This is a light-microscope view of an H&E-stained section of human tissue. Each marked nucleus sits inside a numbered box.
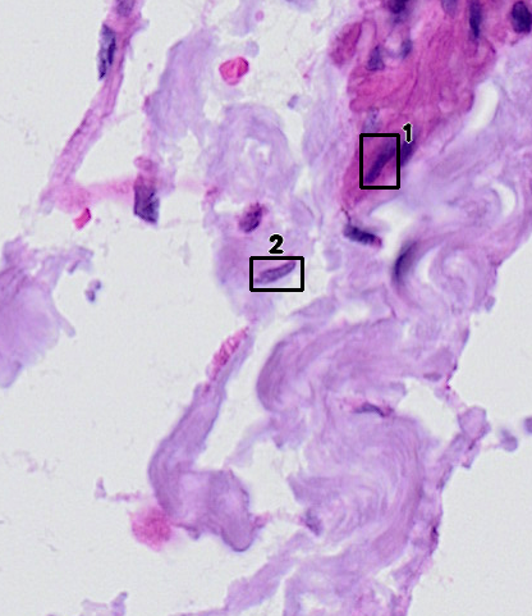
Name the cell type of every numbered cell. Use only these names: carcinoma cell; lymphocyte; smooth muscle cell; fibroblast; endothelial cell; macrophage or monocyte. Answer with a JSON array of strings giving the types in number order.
["smooth muscle cell", "fibroblast"]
